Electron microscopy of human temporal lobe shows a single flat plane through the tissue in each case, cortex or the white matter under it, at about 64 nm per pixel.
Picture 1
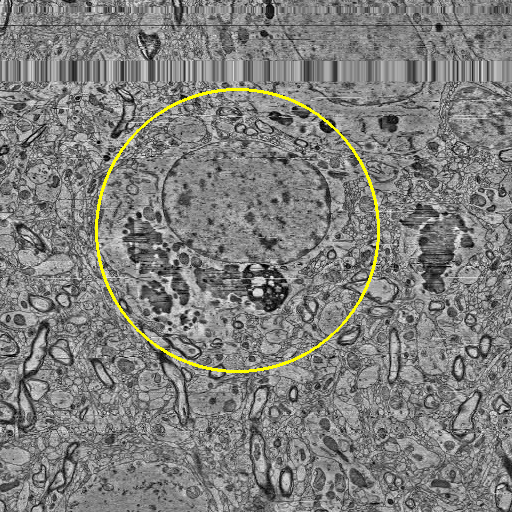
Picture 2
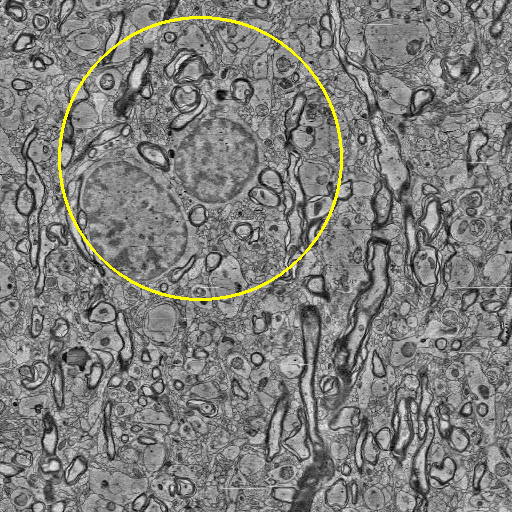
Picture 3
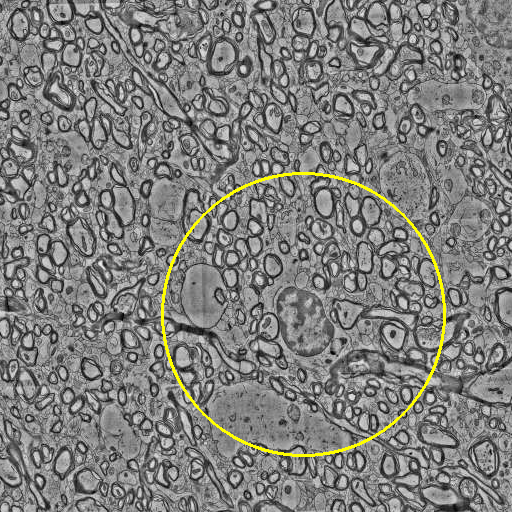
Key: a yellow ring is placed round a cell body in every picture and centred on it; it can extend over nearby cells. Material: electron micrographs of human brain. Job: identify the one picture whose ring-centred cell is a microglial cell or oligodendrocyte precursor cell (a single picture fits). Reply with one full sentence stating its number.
Picture 3 is the one with the sought cell at the centre of its ring.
